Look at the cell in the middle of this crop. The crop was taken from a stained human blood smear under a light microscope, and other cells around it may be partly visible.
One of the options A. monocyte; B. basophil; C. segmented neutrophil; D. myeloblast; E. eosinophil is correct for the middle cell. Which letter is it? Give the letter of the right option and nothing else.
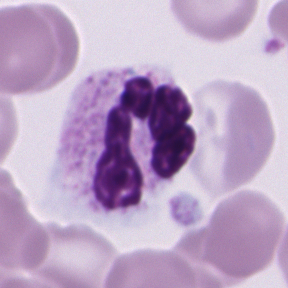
C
